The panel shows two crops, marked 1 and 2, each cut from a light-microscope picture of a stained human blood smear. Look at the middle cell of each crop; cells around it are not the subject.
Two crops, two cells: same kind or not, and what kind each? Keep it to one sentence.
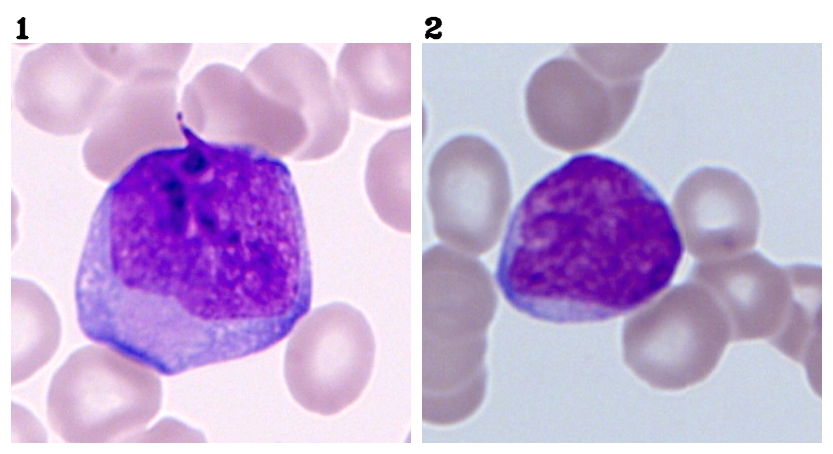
Yes, both crops show a cell each, and these are myeloblasts.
